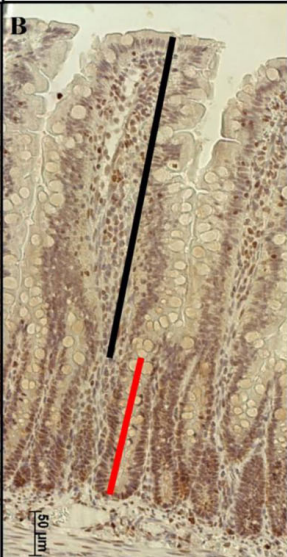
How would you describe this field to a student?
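This is the lining of the small intestine, with tall slender villi standing side by side and running up from the deeper glandular crypts. Each villus is covered by a single layer of tall columnar epithelial cells, among which many rounded, pale, clear goblet cells stand out. Many nuclei, especially toward the base of the mucosa, are stained brown, while others remain pale blue-grey. At the very bottom a thin band of smooth muscle of the gut wall lies beneath the crypts.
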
